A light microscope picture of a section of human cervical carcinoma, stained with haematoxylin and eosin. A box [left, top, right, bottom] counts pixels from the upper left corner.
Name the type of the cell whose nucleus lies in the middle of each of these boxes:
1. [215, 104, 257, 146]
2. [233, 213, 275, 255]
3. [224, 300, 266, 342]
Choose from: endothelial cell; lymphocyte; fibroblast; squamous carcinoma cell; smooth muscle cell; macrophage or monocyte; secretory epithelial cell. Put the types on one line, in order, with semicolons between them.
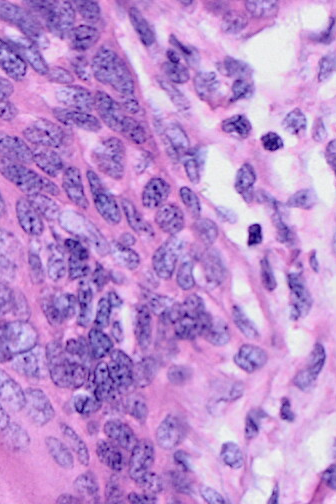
lymphocyte; lymphocyte; endothelial cell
